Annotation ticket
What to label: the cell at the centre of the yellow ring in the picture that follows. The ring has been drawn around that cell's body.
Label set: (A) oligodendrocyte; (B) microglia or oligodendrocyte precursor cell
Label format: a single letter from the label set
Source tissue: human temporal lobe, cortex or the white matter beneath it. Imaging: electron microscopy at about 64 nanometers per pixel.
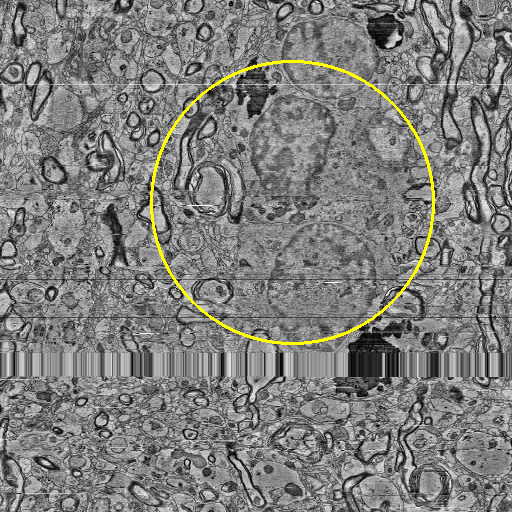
A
